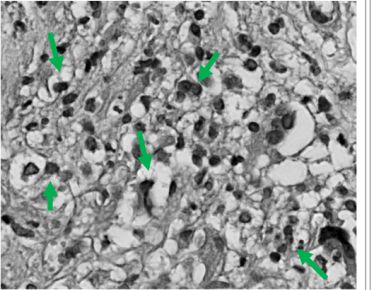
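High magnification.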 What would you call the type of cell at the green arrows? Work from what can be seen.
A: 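The arrowed cells have small round dark nuclei. Cells are densely packed in a loose, vacuolated background. So: inflammatory cells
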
